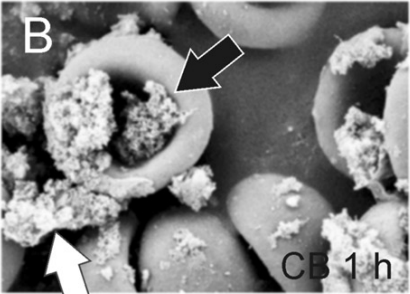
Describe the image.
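Large irregular clumps of fluffy, granular particulate material lie on and among the cells. One cell's central depression is largely filled by such a spongy clump adhering to its surface. Another clump lies between neighbouring cells and contacts more than one of them, linking them together. Apart from the adherent material, the cell surfaces look smooth and the disc shape is kept.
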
